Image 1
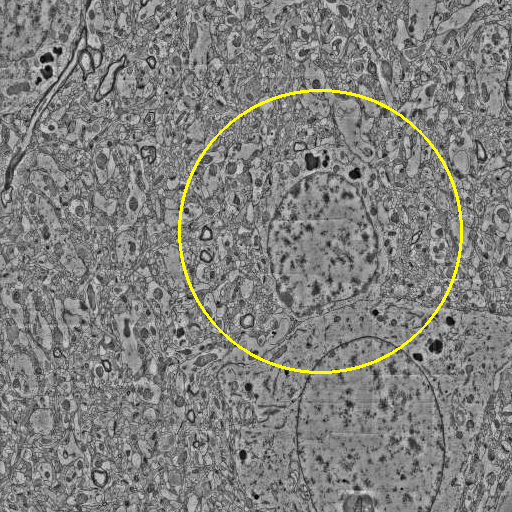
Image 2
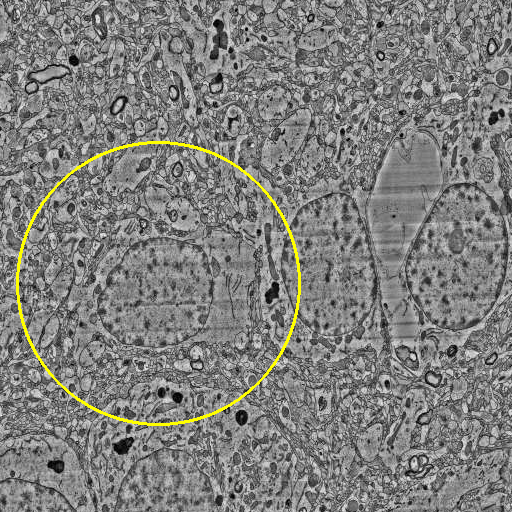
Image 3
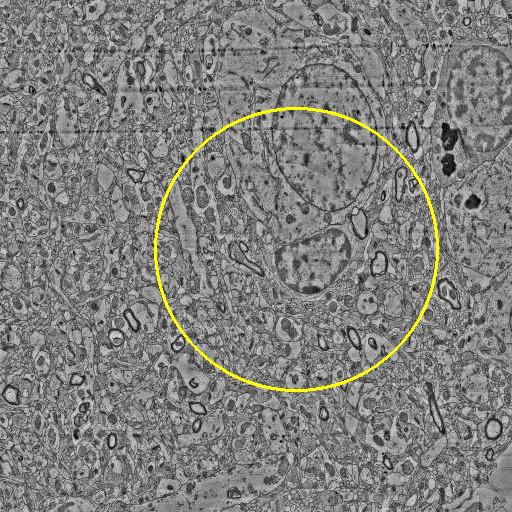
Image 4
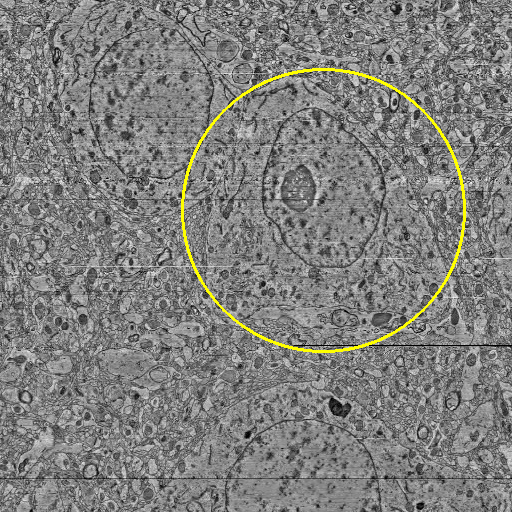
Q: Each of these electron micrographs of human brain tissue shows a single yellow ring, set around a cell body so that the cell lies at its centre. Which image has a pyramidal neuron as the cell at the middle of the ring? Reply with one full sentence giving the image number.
In image 4, the cell lying at the ring's centre is the requested one.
